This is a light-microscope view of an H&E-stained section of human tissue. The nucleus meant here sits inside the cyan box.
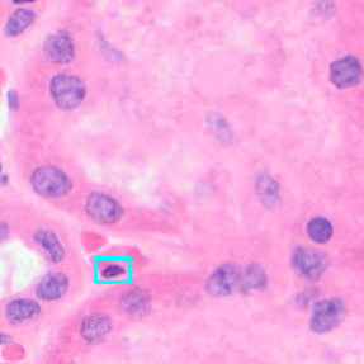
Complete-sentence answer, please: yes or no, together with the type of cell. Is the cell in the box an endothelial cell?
Yes, to name the cell in the box an endothelial cell is correct.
